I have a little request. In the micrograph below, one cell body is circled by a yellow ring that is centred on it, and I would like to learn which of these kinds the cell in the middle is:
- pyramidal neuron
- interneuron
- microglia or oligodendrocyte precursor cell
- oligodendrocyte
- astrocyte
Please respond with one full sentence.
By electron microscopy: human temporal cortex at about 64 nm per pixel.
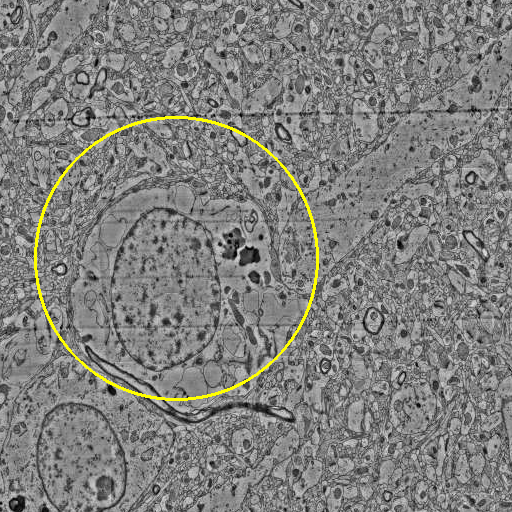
The cell sitting in the middle of the yellow ring in the micrograph is an astrocyte.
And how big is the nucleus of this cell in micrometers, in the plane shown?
The nucleus has a long axis of about 10 micrometres and a short axis of about 7 micrometres in this plane.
